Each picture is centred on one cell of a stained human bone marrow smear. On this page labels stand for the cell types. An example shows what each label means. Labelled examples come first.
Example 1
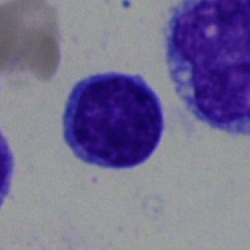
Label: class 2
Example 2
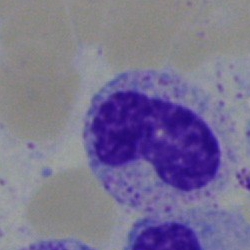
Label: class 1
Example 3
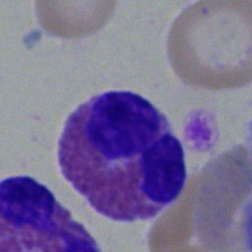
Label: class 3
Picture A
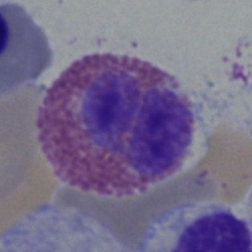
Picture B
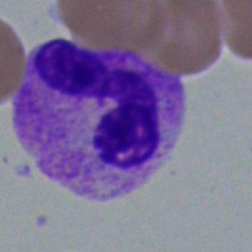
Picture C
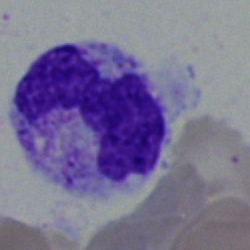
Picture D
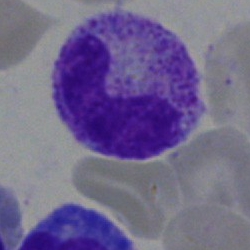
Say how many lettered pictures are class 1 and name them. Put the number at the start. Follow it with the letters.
Count: 3 (B, C, D)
